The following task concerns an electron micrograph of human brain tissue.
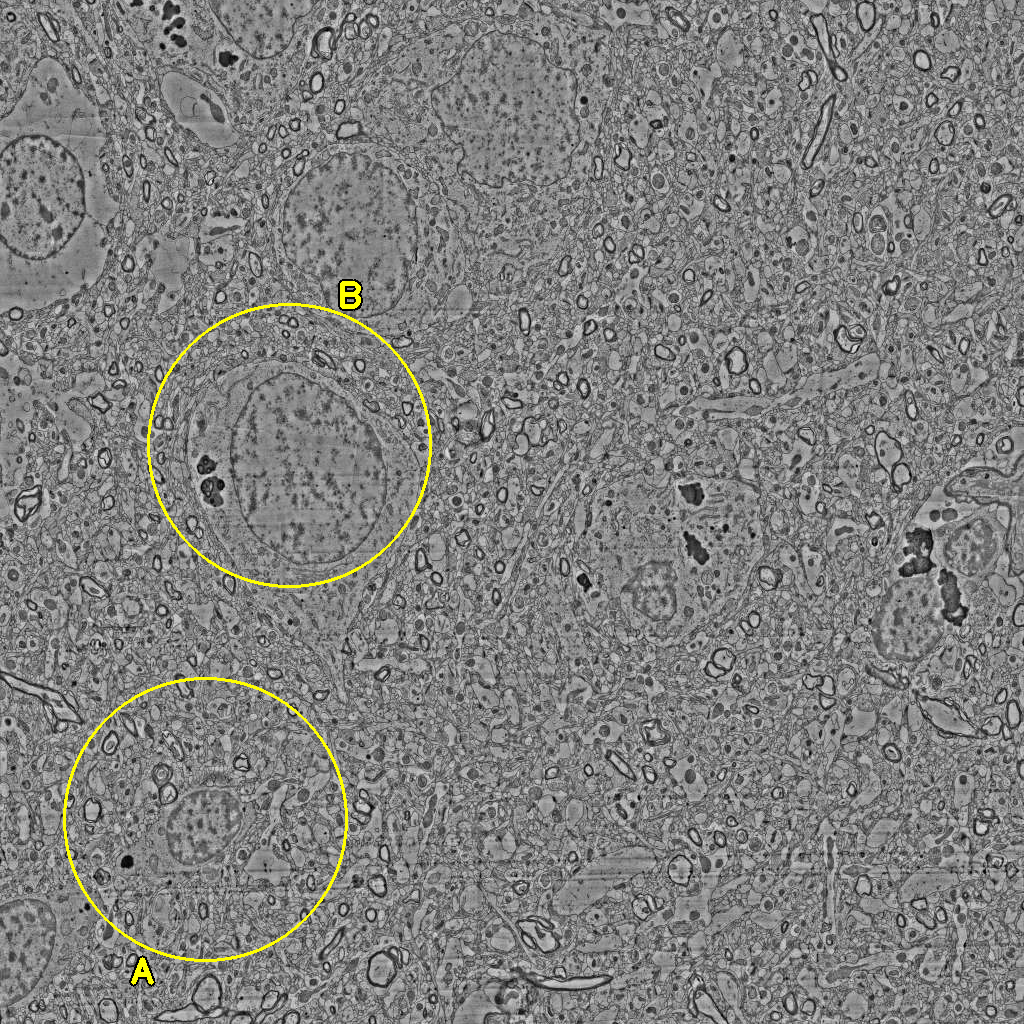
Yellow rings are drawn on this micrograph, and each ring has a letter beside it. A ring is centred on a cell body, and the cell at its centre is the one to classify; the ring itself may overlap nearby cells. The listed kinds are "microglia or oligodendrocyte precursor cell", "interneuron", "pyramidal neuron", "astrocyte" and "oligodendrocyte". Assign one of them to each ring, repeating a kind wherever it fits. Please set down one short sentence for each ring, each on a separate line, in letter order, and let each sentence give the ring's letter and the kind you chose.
The cell ringed as A is an oligodendrocyte.
The cell ringed as B is a pyramidal neuron.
